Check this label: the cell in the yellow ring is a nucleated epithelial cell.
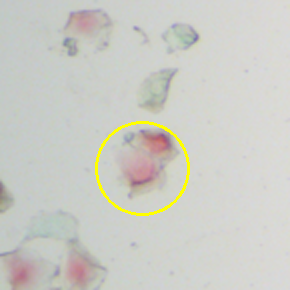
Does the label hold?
The label holds; the cell is a nucleated epithelial cell.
